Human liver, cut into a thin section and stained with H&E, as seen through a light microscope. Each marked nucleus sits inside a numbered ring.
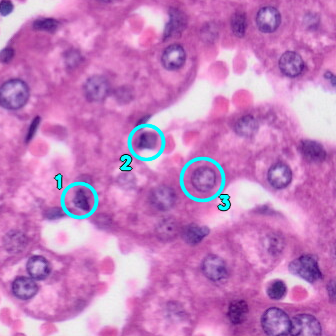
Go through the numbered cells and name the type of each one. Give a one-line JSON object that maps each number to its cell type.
{"1": "fibroblast or stellate cell", "2": "Kupffer cell", "3": "hepatocyte"}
